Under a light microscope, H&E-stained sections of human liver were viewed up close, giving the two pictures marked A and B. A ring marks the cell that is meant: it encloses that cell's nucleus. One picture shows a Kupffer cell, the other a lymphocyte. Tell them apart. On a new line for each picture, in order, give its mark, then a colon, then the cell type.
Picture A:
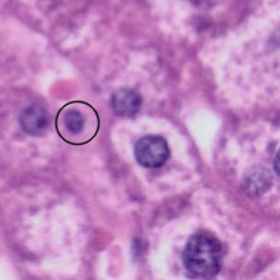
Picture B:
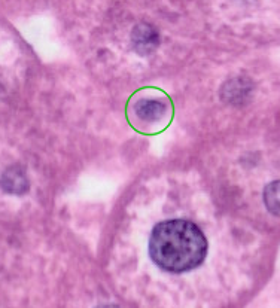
A: lymphocyte
B: Kupffer cell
